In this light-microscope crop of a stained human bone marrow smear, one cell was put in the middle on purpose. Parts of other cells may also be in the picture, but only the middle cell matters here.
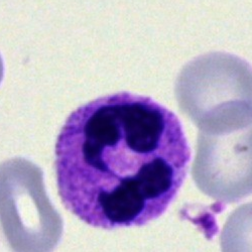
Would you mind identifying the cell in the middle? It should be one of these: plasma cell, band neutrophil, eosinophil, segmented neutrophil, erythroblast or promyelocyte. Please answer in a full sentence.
The cell centered in this field of view is a segmented neutrophil.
